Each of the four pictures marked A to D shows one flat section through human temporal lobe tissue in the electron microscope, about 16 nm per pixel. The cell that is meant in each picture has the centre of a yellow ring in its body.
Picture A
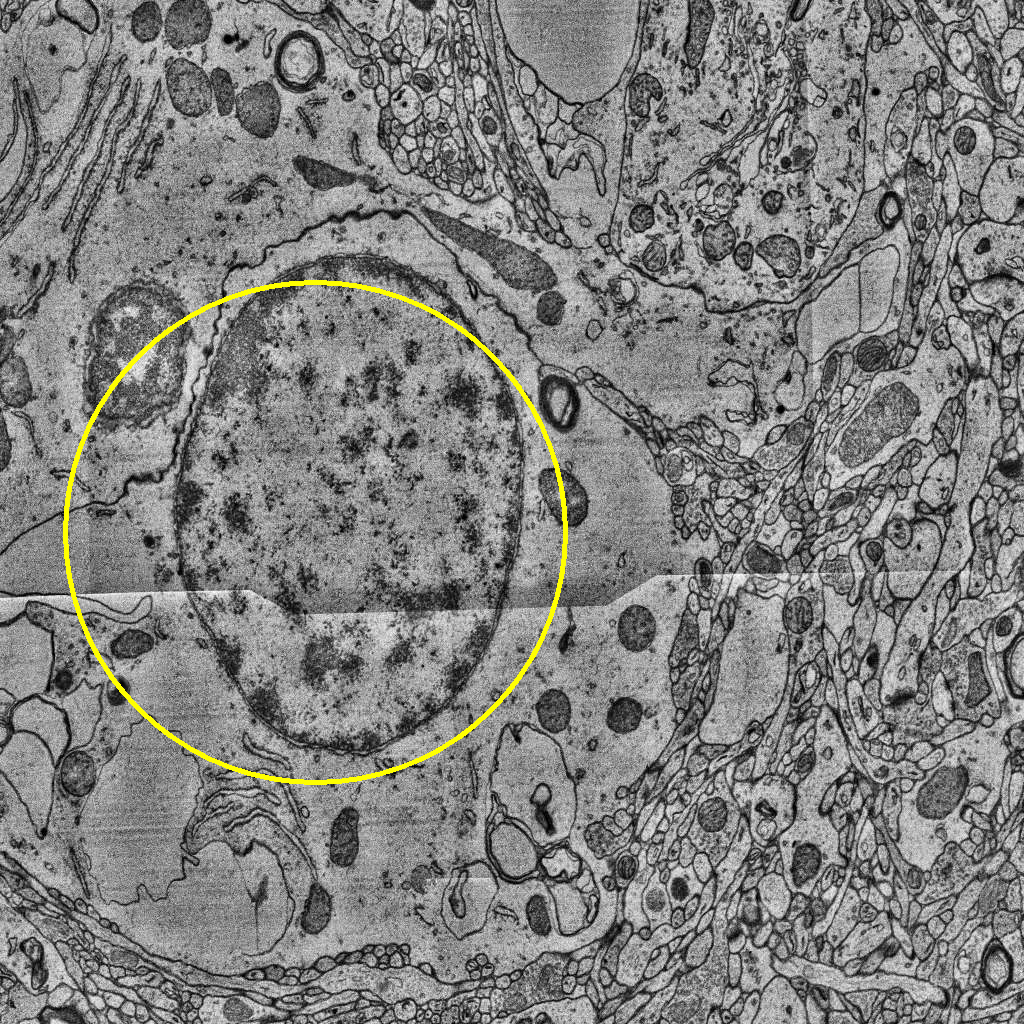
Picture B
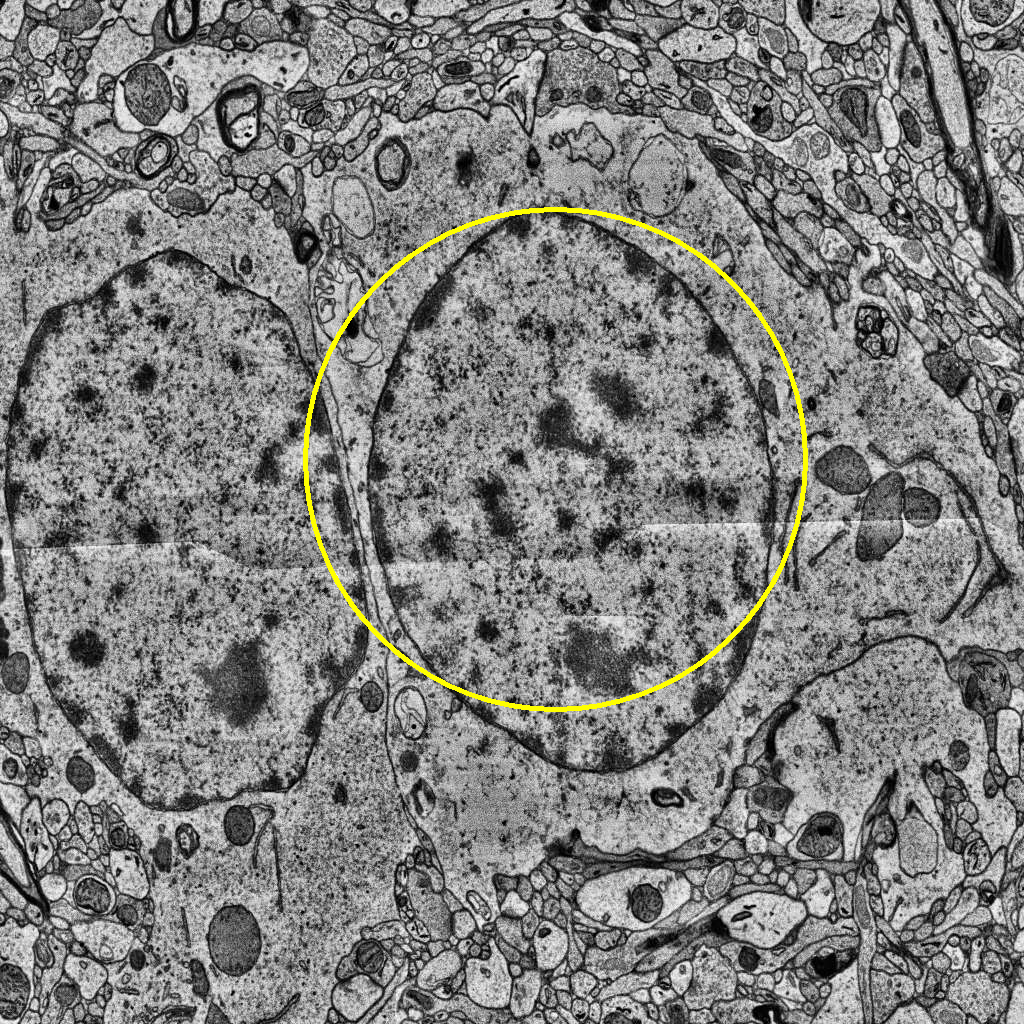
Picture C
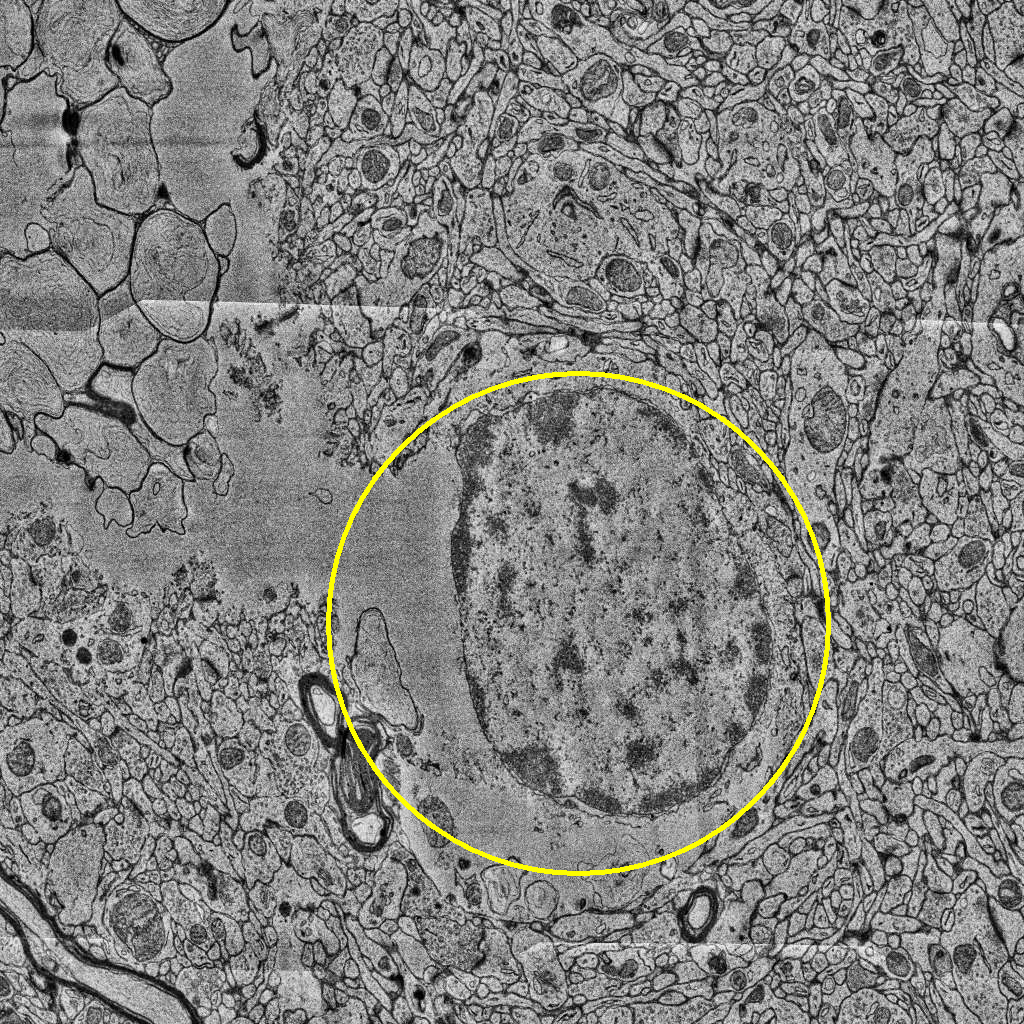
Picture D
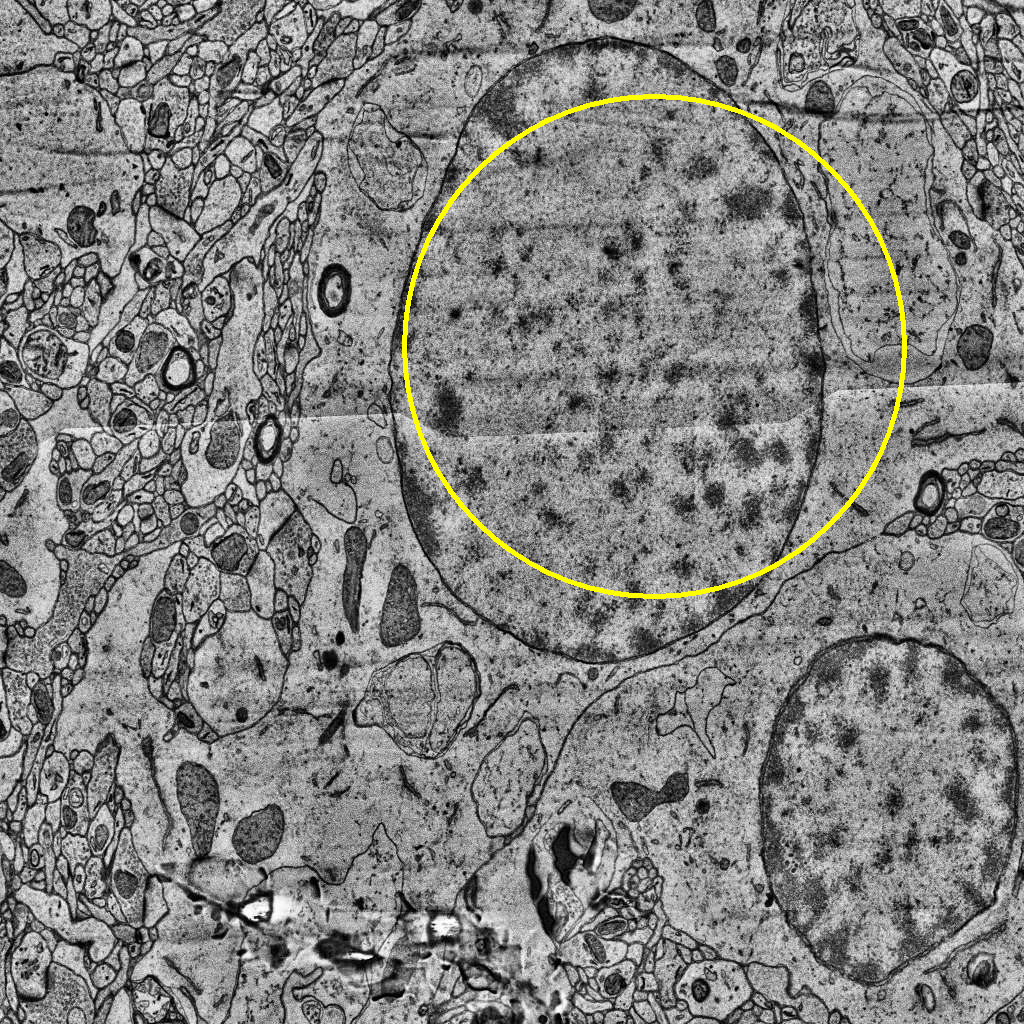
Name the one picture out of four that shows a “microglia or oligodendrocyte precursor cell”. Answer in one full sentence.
Picture C shows the “microglia or oligodendrocyte precursor cell”.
